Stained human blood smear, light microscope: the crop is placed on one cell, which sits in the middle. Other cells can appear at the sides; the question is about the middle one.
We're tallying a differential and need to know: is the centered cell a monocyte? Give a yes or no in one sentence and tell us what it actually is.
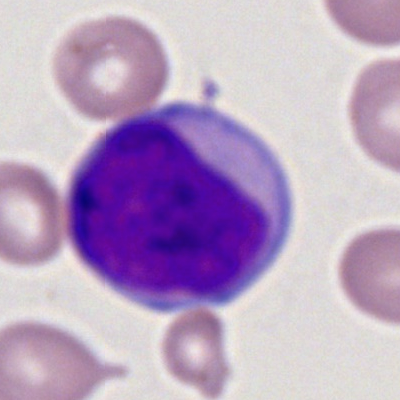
No, the cell in the middle of the crop counts as a myeloblast and not as a monocyte.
